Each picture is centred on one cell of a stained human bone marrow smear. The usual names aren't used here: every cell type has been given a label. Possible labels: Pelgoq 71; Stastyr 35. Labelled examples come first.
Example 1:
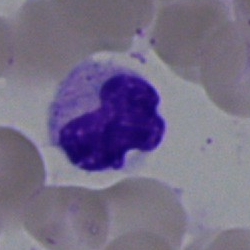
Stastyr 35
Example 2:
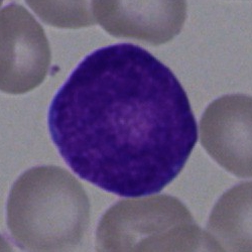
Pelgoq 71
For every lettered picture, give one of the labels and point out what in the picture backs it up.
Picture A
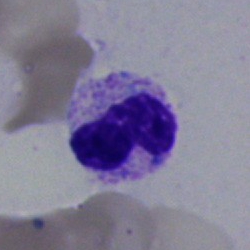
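Stastyr 35: The cytoplasm is scattered with fine violet granules.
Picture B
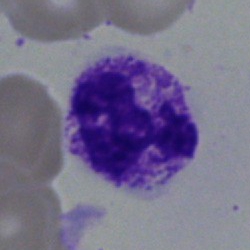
Stastyr 35: Coarse dark blue-purple granules crowd nearly the whole cell.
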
